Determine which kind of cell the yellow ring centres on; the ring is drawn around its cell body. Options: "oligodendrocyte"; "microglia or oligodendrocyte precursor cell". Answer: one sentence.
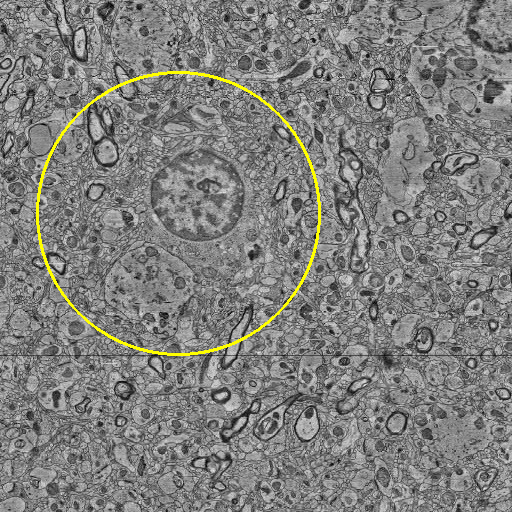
The ring centres on an oligodendrocyte.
